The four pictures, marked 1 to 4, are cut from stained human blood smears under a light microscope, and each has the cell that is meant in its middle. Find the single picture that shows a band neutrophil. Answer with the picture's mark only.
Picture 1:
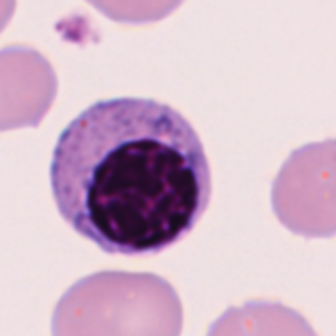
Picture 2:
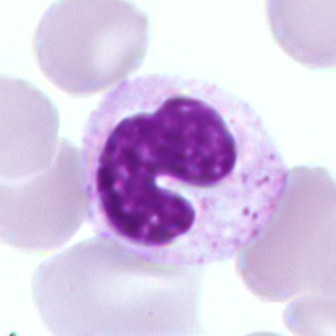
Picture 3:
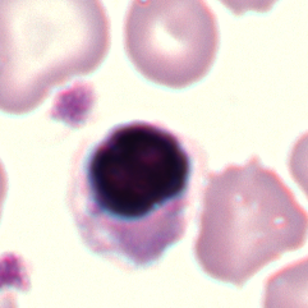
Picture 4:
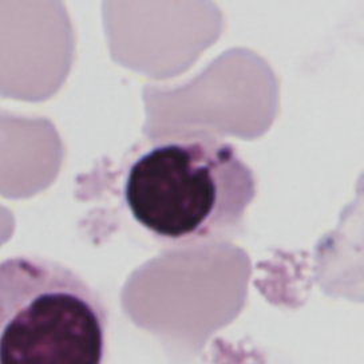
2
